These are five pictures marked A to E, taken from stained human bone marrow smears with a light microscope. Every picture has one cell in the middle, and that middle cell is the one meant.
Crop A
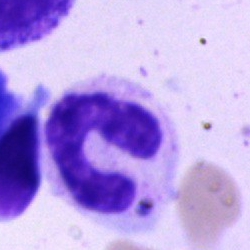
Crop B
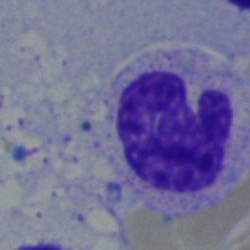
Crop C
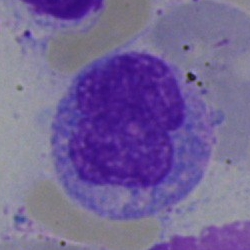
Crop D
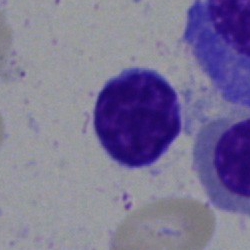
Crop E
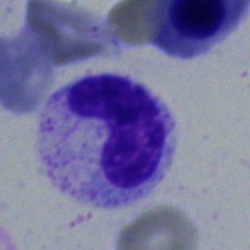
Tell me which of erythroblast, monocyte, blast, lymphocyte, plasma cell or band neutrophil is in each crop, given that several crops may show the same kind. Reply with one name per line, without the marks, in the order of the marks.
band neutrophil
band neutrophil
monocyte
lymphocyte
band neutrophil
